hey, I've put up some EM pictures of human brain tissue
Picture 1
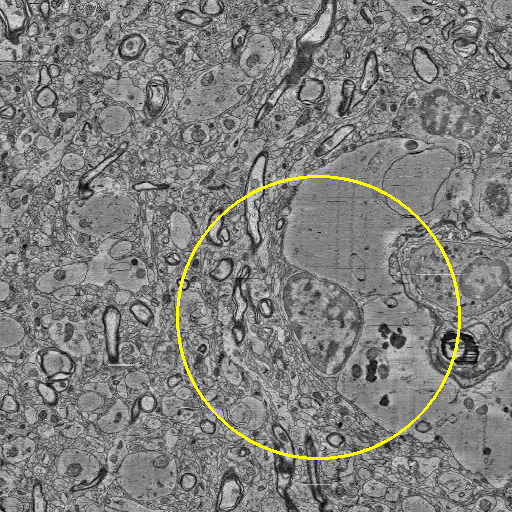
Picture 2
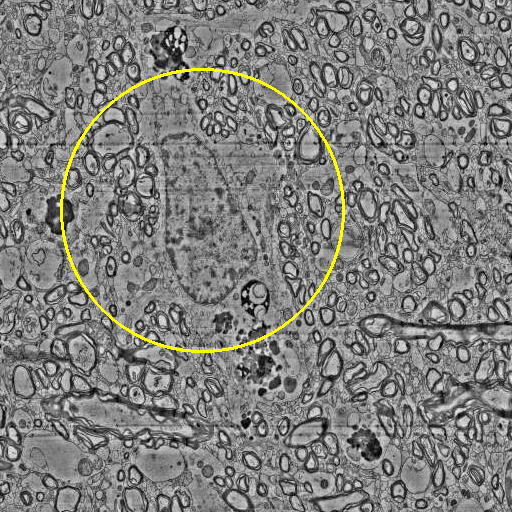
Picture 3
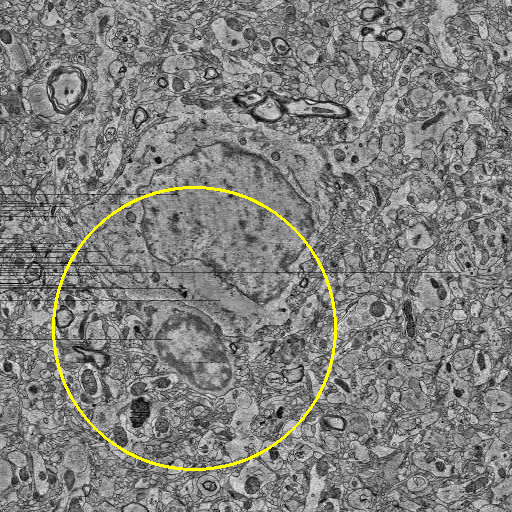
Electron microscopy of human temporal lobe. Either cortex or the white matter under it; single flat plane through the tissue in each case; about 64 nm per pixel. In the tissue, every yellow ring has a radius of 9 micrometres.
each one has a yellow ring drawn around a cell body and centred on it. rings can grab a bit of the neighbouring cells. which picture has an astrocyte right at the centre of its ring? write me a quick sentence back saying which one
It's Picture 2.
